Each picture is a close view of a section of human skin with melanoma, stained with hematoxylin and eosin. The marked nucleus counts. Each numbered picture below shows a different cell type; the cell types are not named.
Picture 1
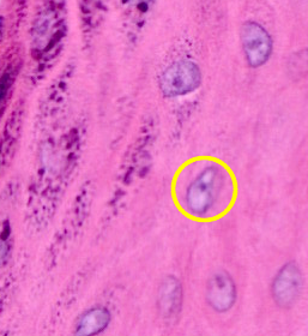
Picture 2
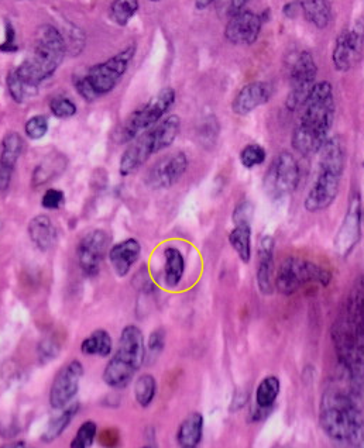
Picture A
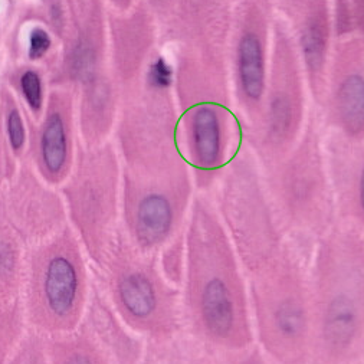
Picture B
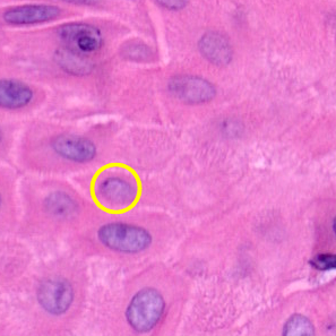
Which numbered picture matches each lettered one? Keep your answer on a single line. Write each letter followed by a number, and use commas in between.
A 1, B 1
